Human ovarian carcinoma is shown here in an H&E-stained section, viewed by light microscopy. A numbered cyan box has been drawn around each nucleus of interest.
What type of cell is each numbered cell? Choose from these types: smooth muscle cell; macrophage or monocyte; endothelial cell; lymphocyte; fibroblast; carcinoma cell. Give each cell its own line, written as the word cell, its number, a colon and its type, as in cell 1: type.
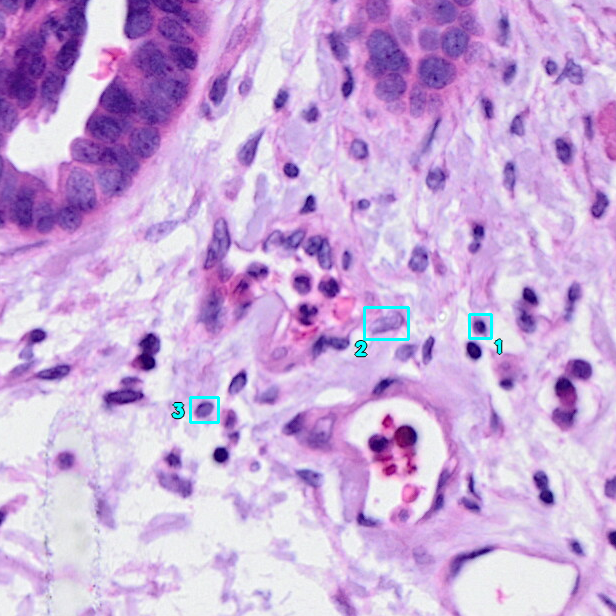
cell 1: lymphocyte
cell 2: fibroblast
cell 3: lymphocyte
